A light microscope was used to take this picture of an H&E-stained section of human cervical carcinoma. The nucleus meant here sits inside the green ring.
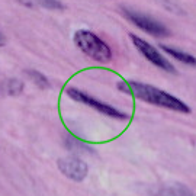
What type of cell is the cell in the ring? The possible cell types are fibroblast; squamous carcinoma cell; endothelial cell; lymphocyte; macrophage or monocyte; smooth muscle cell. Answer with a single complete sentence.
The cell in the ring appears to be a fibroblast.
